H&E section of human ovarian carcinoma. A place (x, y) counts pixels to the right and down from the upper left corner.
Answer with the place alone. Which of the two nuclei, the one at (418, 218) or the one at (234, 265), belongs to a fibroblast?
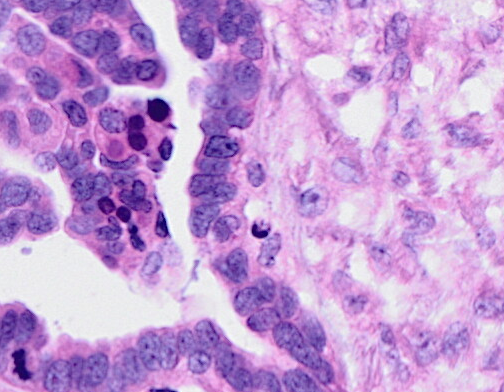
(418, 218)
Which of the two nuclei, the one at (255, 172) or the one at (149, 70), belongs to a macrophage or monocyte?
(255, 172)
